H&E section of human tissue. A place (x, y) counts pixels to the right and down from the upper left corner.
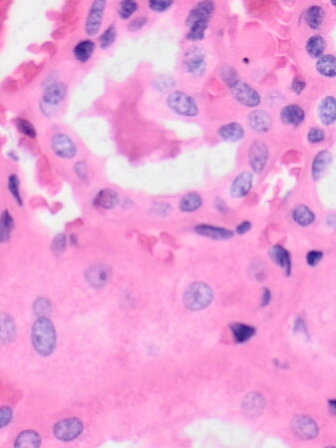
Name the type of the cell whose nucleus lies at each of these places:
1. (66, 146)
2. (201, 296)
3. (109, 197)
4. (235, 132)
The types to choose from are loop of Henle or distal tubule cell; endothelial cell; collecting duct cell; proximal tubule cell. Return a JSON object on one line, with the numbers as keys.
{"1": "collecting duct cell", "2": "proximal tubule cell", "3": "collecting duct cell", "4": "collecting duct cell"}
